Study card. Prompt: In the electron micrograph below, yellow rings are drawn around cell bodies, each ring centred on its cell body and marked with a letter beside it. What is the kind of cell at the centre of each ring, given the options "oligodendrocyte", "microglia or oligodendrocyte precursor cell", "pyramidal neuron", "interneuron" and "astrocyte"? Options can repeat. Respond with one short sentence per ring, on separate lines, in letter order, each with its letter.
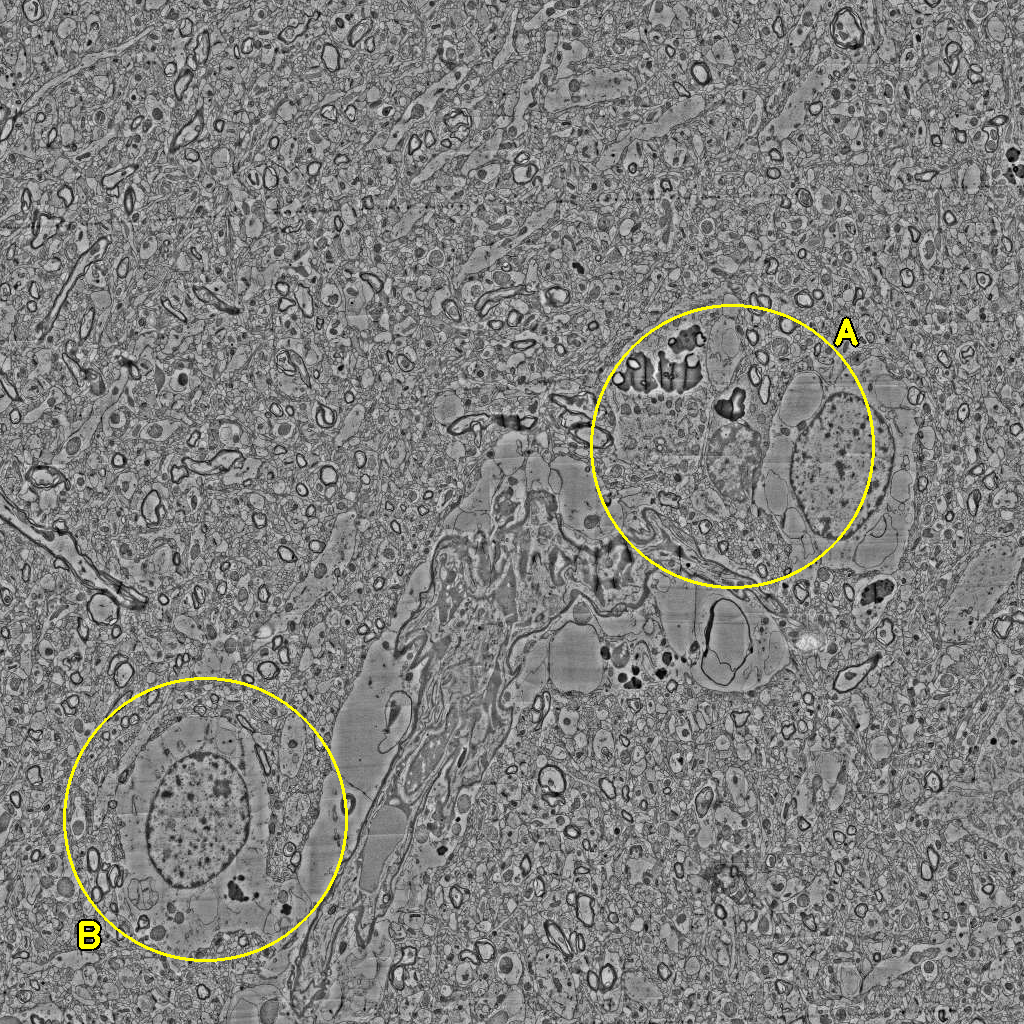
Ring A outlines an oligodendrocyte.
Ring B outlines an astrocyte.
